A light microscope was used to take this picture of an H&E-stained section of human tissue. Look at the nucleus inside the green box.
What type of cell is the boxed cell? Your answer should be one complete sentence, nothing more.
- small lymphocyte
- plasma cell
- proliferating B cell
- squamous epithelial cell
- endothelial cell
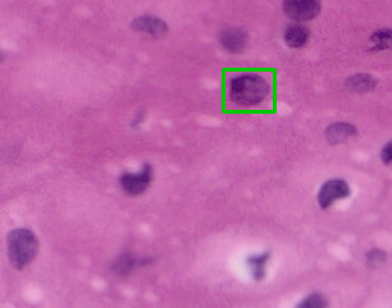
Among the cells in this section, the boxed cell is a squamous epithelial cell.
